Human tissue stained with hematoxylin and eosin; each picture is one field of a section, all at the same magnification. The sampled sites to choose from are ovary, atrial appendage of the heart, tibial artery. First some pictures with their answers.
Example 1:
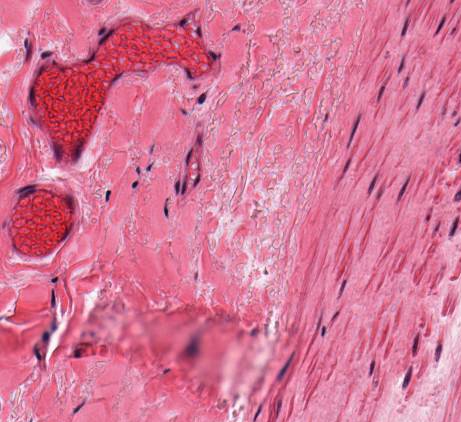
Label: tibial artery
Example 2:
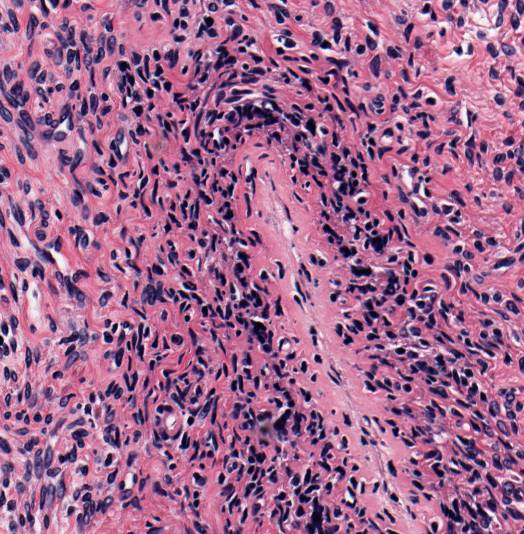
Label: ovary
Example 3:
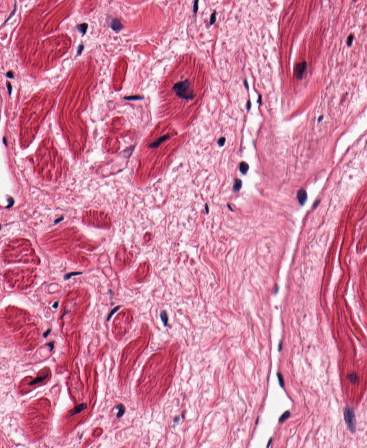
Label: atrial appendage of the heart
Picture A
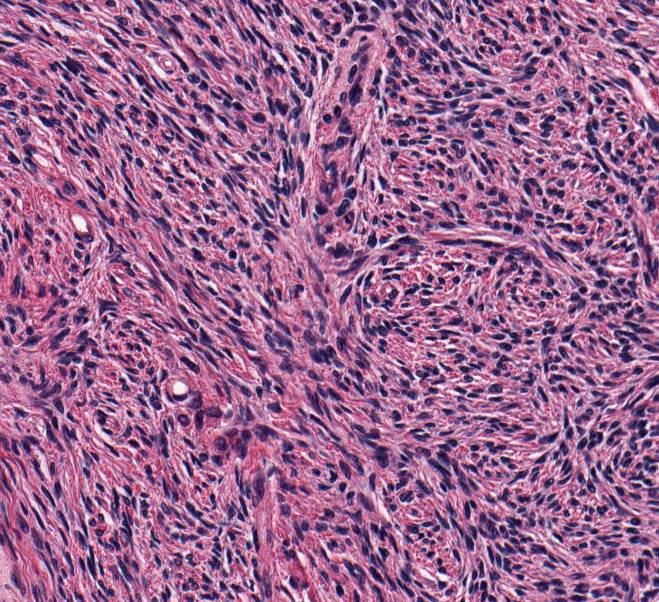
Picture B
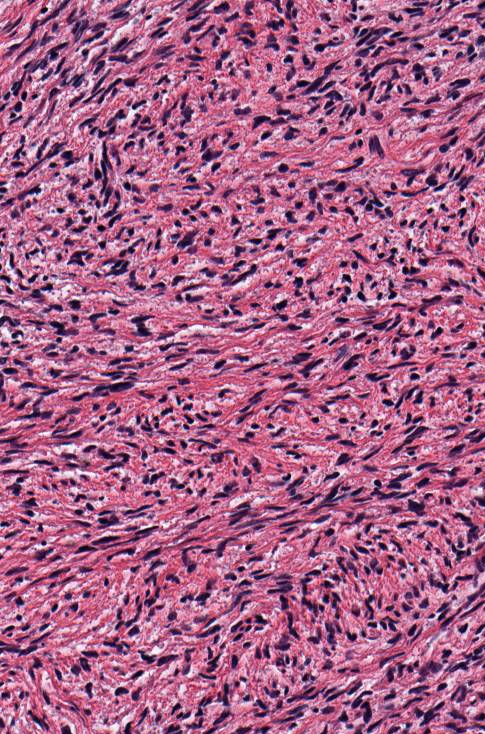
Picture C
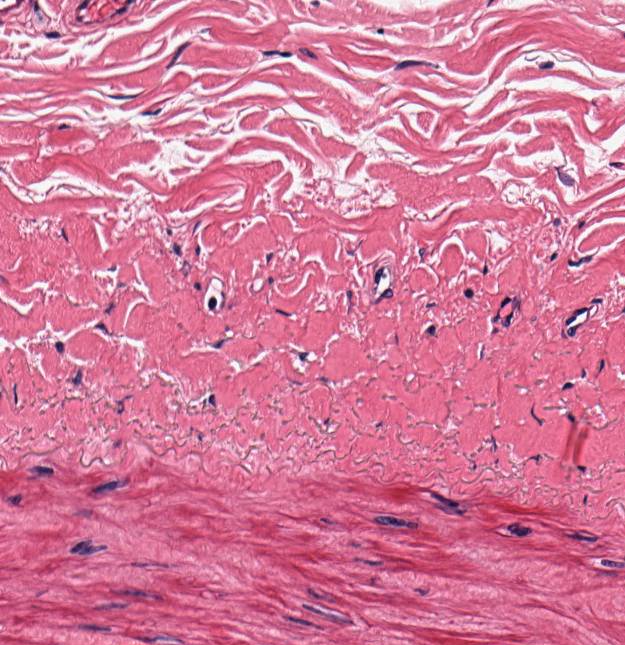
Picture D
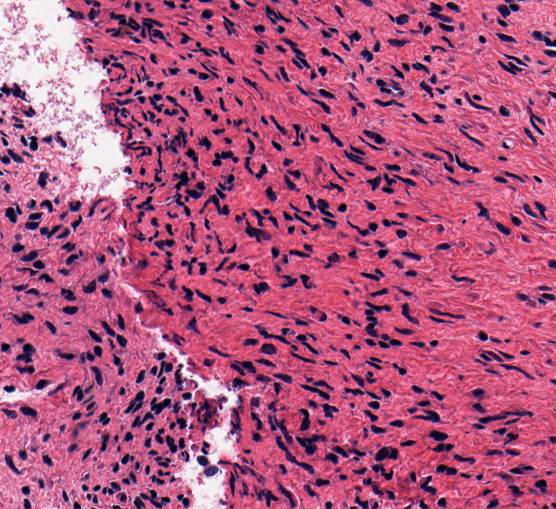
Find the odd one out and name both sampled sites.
Odd one out: C (tibial artery). The rest: ovary.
